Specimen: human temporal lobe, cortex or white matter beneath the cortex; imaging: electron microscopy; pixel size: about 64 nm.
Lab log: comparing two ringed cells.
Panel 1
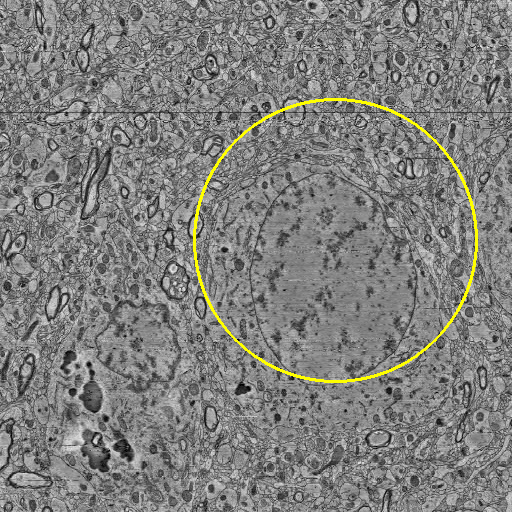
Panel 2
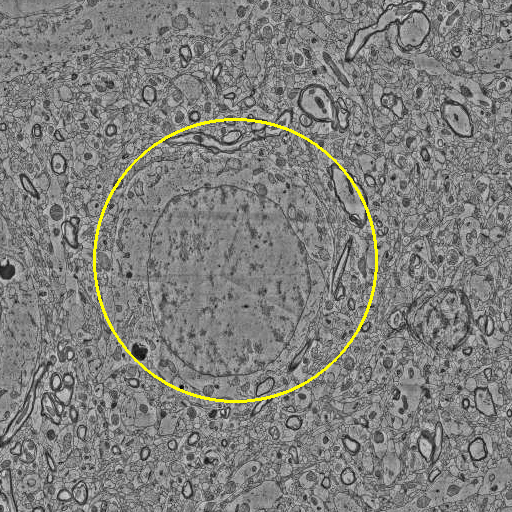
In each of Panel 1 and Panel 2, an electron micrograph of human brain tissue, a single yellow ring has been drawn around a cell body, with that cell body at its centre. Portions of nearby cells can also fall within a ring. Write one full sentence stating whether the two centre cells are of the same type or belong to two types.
The cells at the ring centres in Panel 1 and Panel 2 are of the same type.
